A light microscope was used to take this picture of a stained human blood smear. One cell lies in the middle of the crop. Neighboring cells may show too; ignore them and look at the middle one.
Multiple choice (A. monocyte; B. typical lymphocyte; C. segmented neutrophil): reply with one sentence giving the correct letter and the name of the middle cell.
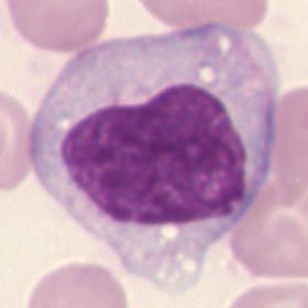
Given that the cell in the middle is a monocyte, option A is correct.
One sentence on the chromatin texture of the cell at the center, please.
Coarse clumps are absent, and the chromatin is fine throughout.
